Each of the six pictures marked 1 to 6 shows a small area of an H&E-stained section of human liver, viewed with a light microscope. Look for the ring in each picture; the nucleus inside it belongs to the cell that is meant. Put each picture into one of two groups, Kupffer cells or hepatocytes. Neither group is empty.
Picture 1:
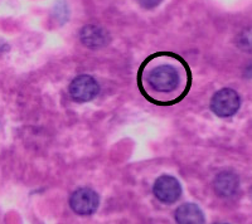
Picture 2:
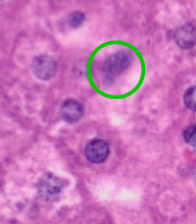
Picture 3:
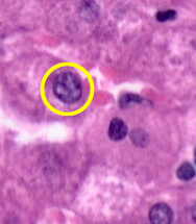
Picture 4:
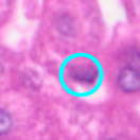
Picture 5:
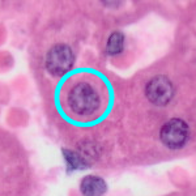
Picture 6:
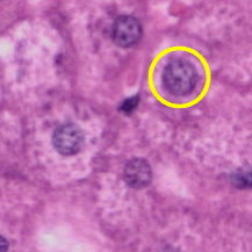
1: hepatocyte
2: Kupffer cell
3: hepatocyte
4: Kupffer cell
5: hepatocyte
6: hepatocyte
